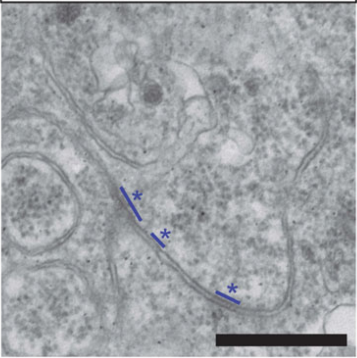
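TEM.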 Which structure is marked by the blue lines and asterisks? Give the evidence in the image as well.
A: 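Paired apposed membranes run diagonally across the field.
Conclusion: ladder-like structures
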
